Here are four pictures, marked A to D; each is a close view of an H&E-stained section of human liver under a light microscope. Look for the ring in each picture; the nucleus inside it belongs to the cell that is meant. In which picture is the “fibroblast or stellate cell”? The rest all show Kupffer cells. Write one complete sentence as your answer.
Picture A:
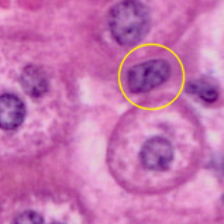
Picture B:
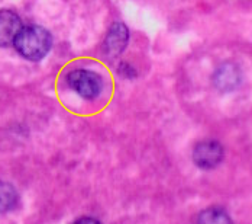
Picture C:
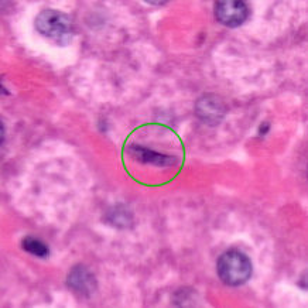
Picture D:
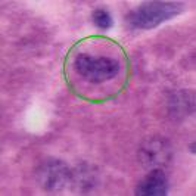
Picture D is the one that shows the “fibroblast or stellate cell”.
